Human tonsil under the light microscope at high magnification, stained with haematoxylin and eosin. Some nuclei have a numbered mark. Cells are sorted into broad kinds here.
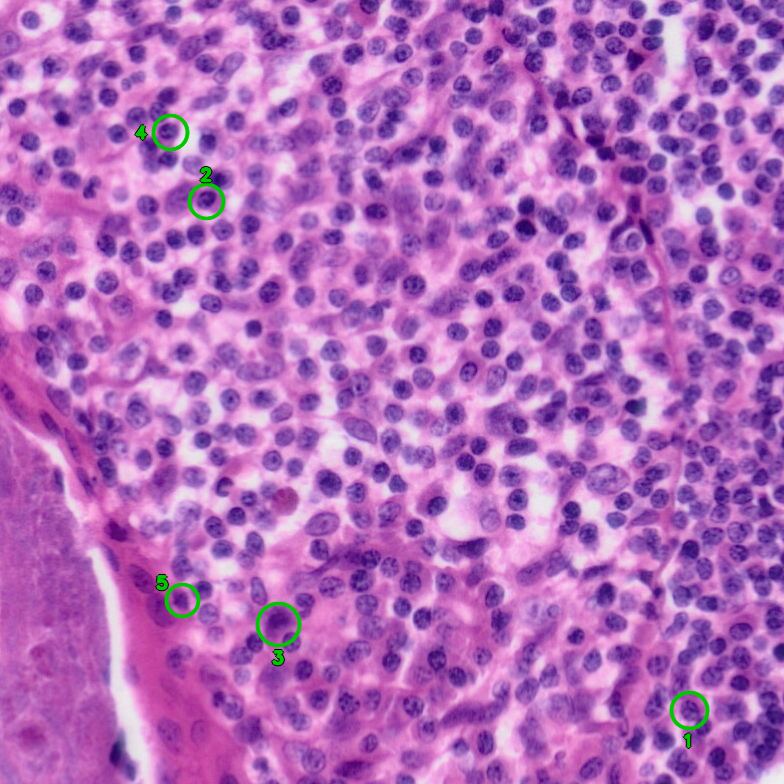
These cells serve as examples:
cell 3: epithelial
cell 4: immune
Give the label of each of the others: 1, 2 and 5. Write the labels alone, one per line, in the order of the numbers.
immune
immune
epithelial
